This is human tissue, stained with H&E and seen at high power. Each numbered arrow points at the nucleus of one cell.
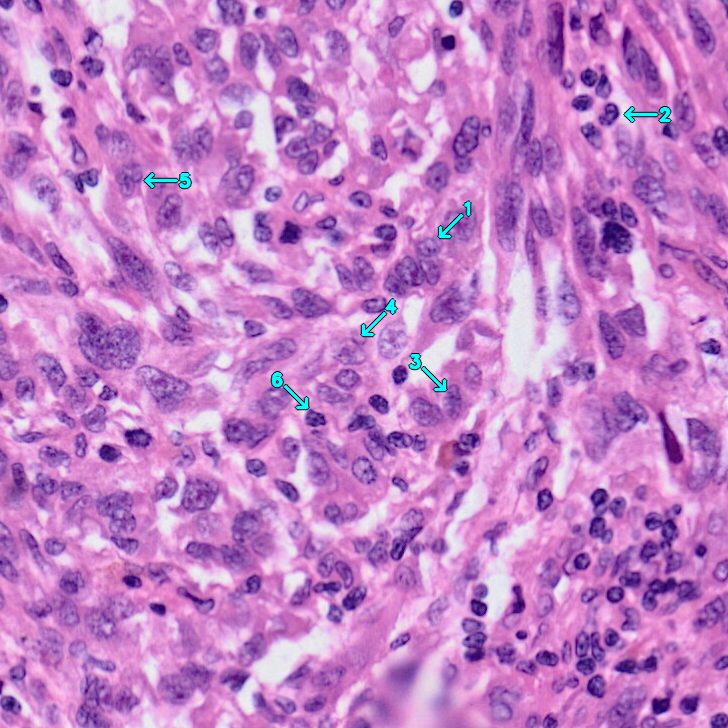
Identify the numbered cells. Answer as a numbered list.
1. melanoma cell
2. lymphocyte
3. melanoma cell
4. melanoma cell
5. melanoma cell
6. lymphocyte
